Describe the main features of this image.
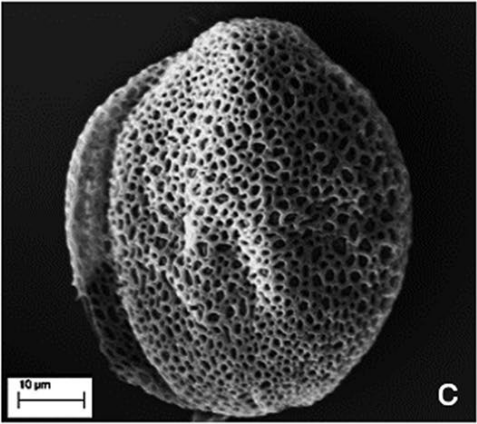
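This scanning electron micrograph shows a single pollen grain with a reticulate exine. The grain is ellipsoid, somewhat longer than wide, and is seen from its surface. Its outer wall is sculptured into a fine network of narrow raised ridges that enclose many small, open, rounded to polygonal meshes, giving a honeycomb-like appearance over the whole visible surface. Toward one side the wall curves inward along a fold of the grain. The meshes are fairly even in size across the surface. The grain lies singly on a smooth dark background.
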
